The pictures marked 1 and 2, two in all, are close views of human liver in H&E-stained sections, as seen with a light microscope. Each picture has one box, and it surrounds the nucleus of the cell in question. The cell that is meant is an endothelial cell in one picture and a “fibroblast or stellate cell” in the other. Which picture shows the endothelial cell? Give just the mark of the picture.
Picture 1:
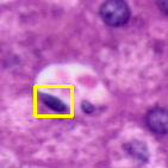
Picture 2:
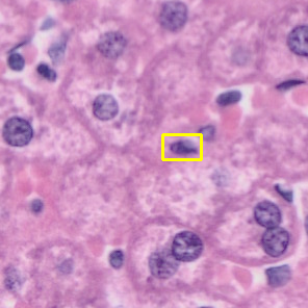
1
